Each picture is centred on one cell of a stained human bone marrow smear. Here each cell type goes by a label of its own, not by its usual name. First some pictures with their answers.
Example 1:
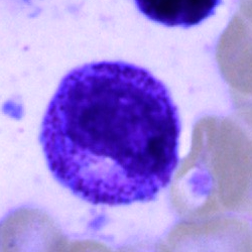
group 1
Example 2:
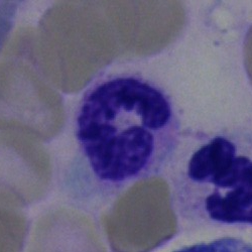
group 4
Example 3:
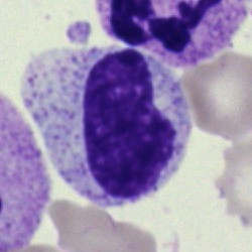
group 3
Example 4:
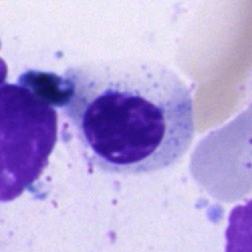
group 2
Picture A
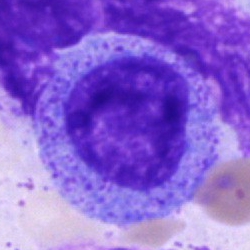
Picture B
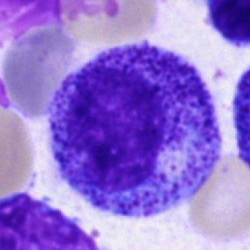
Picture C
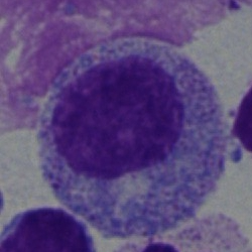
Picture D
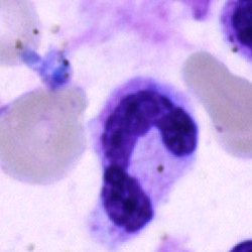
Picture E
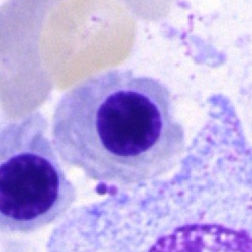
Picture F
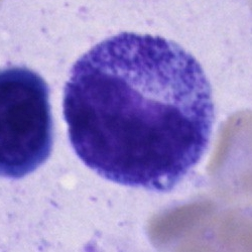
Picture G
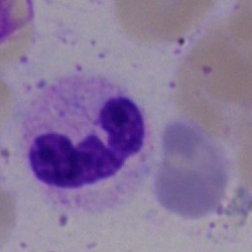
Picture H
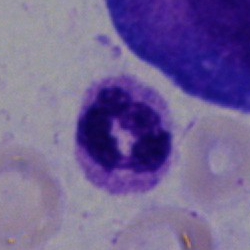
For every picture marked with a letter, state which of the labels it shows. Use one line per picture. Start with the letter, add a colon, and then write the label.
A: group 1
B: group 1
C: group 1
D: group 4
E: group 2
F: group 1
G: group 4
H: group 4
